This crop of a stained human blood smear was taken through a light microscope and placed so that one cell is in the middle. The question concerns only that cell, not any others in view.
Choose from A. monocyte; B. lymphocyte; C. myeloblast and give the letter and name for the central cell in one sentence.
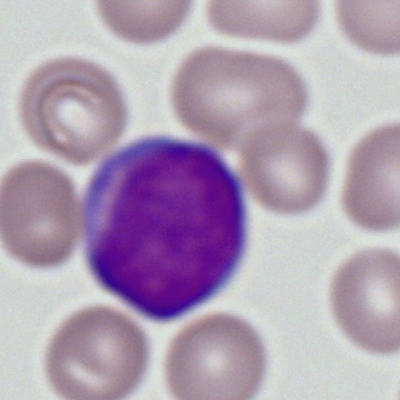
The centrally located cell is a myeloblast, making option C the correct choice.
